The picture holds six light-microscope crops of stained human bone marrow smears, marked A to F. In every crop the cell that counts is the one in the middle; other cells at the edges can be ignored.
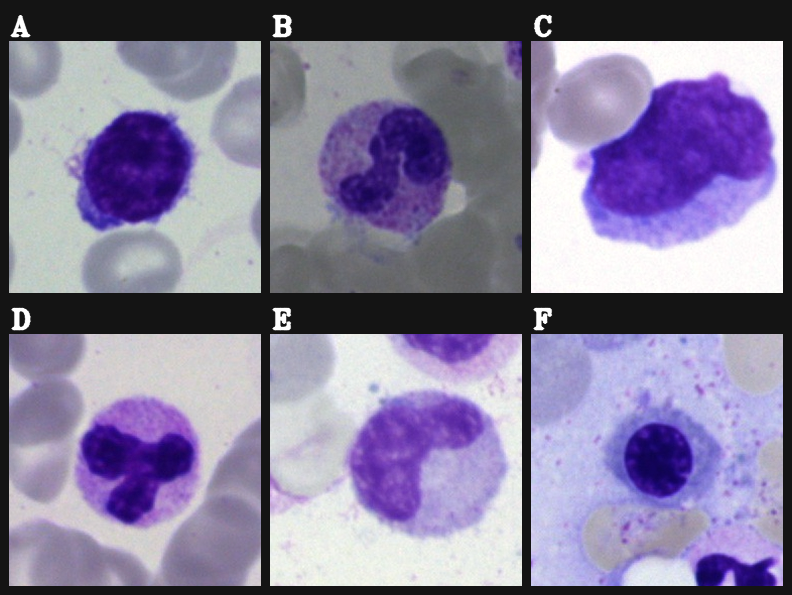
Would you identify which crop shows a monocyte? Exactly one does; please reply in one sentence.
Crop E is the one depicting a monocyte.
